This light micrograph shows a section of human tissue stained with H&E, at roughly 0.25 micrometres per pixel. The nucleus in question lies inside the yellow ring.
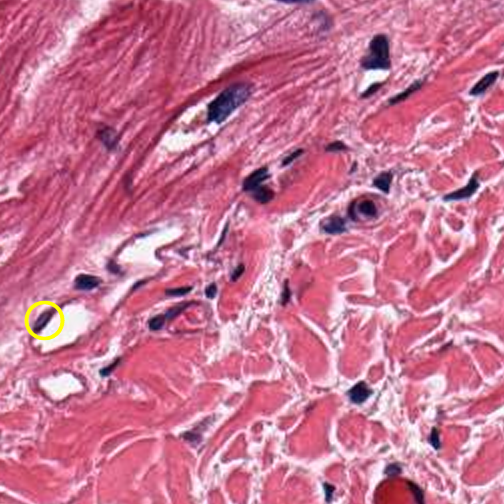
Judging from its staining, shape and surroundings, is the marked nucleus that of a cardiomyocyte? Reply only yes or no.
no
